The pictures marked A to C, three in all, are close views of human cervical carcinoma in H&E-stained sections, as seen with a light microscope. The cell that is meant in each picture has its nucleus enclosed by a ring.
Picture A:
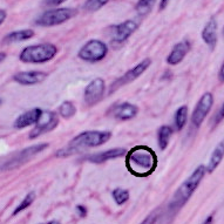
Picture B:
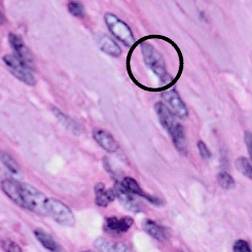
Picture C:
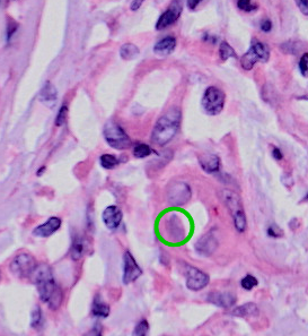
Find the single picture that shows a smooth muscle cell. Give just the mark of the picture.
A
